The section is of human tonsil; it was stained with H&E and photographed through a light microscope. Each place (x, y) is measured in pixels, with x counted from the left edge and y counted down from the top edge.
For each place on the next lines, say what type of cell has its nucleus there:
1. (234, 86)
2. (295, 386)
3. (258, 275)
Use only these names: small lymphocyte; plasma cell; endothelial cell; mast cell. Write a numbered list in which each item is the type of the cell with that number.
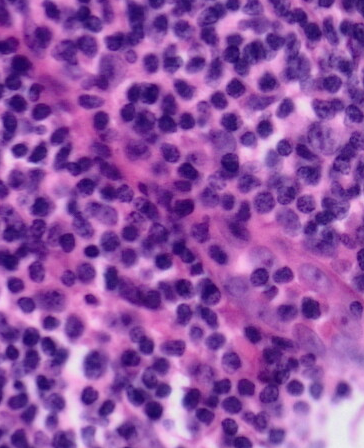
1. small lymphocyte
2. small lymphocyte
3. endothelial cell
